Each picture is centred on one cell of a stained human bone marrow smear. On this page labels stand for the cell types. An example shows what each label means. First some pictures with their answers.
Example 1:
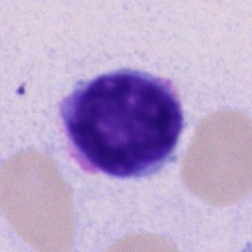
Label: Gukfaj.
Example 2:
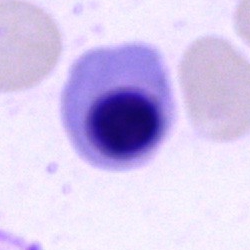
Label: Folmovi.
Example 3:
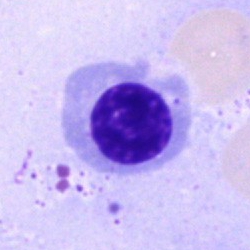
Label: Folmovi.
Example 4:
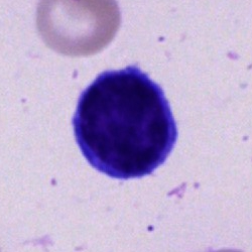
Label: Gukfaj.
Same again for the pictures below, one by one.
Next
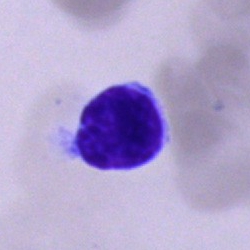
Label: Gukfaj.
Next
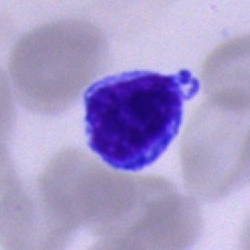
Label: Gukfaj.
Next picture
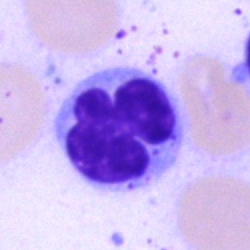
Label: Gukfaj.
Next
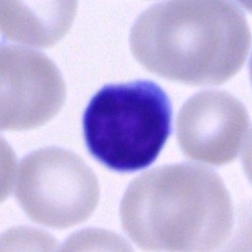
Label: Gukfaj.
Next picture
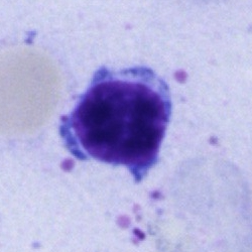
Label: Gukfaj.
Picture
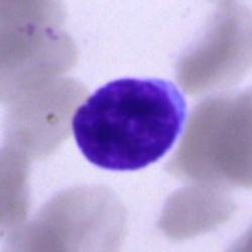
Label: Gukfaj.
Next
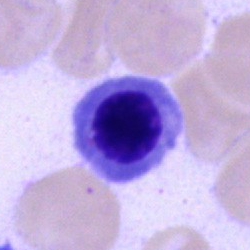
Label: Folmovi.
